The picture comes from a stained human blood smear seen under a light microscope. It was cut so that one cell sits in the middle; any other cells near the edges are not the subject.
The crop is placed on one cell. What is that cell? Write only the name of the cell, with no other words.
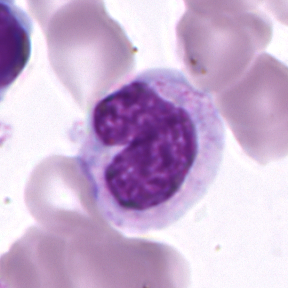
band neutrophil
